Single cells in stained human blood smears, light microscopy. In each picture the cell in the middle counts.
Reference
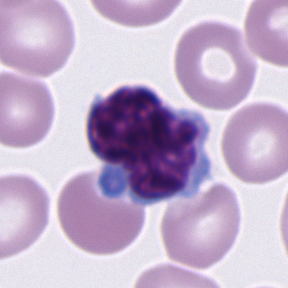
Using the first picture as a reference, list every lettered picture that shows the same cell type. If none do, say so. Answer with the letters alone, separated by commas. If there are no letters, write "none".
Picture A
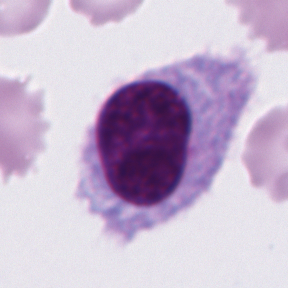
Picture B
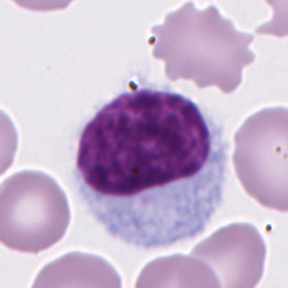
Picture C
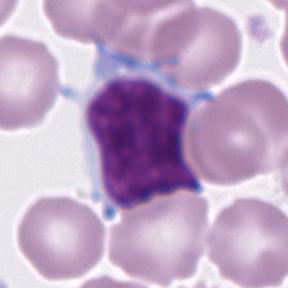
C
